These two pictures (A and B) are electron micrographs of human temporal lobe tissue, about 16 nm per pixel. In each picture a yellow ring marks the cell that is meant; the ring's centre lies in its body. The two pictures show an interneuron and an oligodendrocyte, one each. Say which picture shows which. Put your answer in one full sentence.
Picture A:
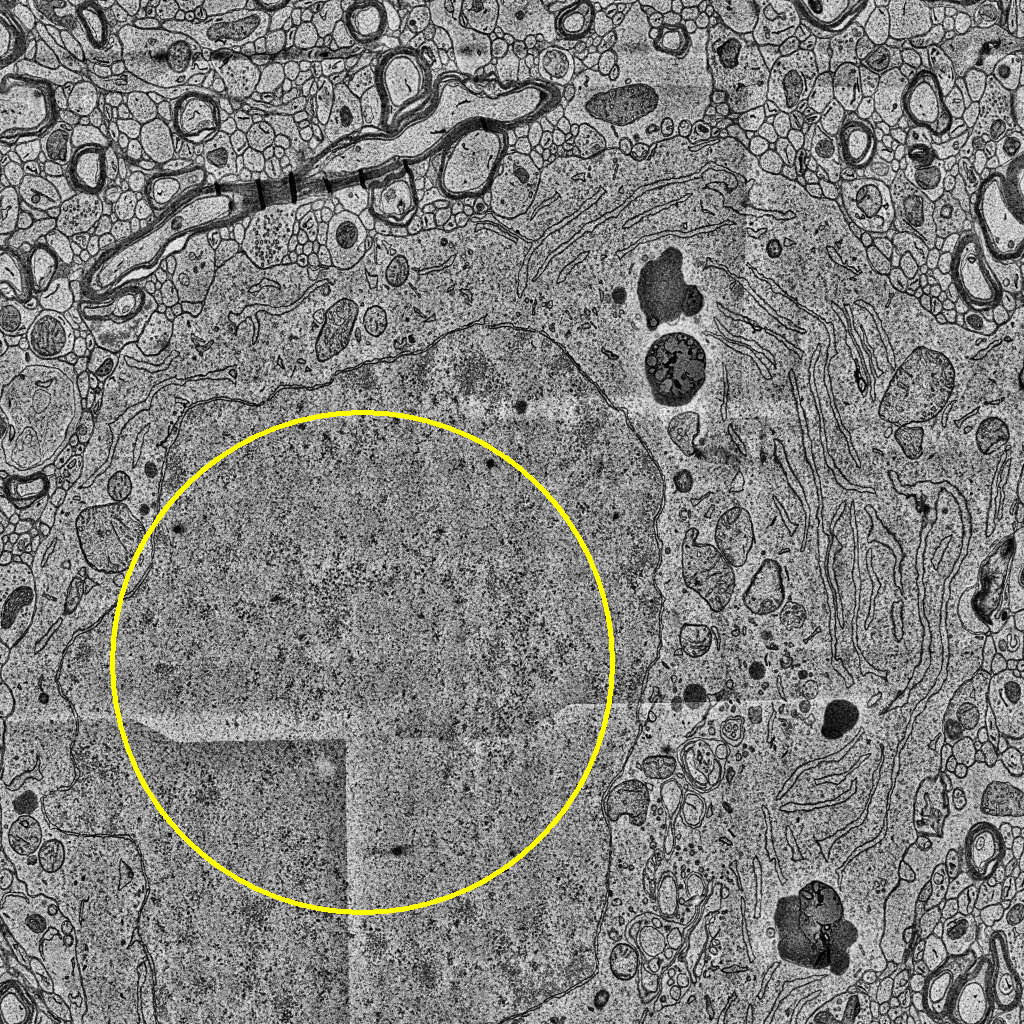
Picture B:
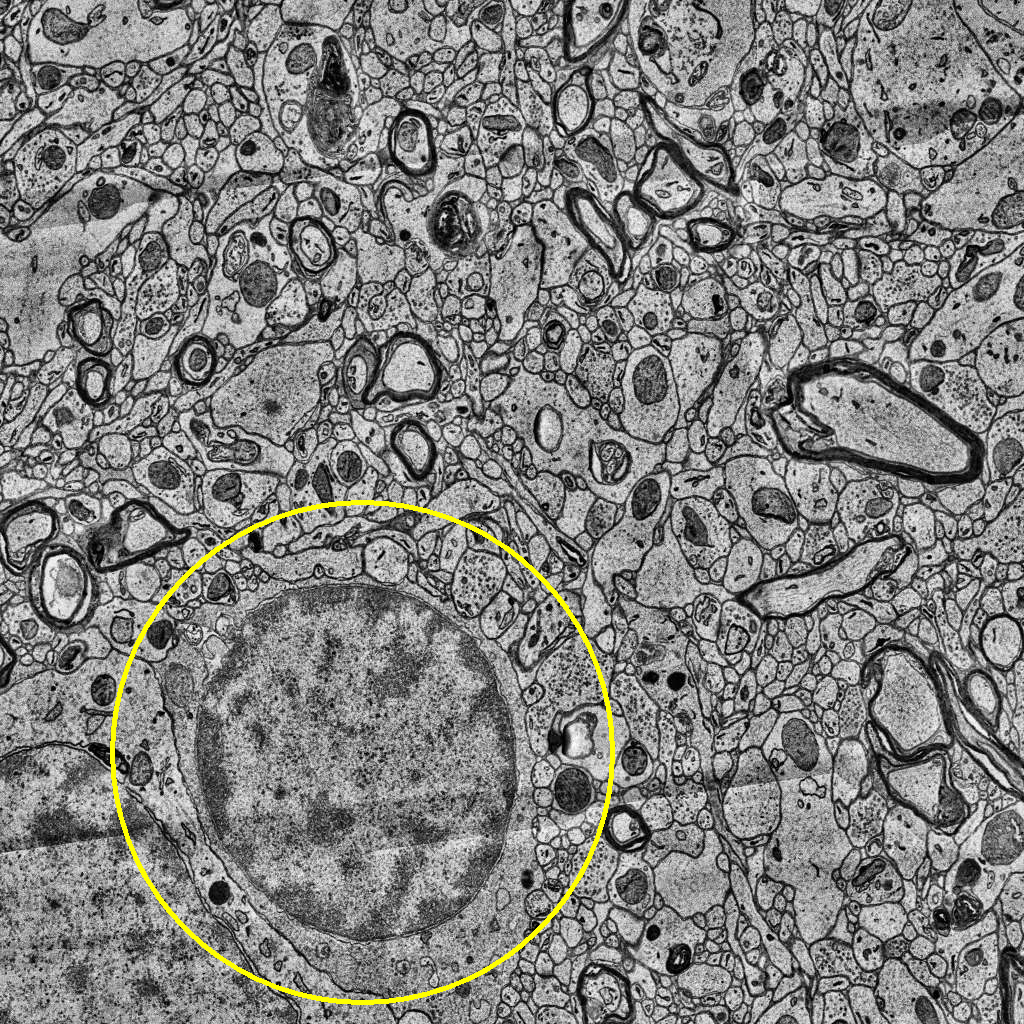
Picture A is of an interneuron, and picture B is of an oligodendrocyte.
